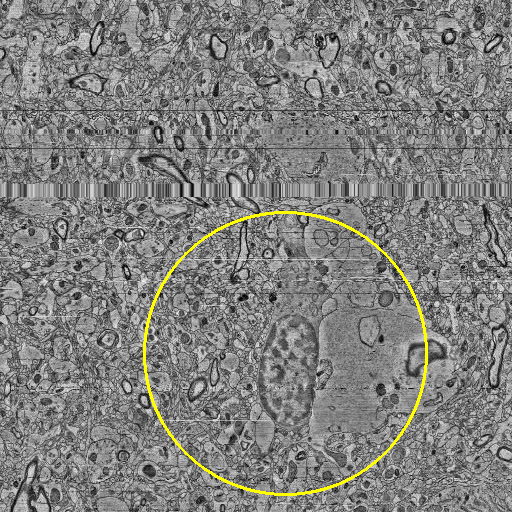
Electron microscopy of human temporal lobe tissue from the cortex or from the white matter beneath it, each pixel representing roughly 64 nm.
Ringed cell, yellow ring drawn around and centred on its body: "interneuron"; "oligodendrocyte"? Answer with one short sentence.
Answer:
This ringed cell is an oligodendrocyte.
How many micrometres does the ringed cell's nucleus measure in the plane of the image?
The nucleus is approximately 7 micrometers long by 4 micrometers wide in this plane.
